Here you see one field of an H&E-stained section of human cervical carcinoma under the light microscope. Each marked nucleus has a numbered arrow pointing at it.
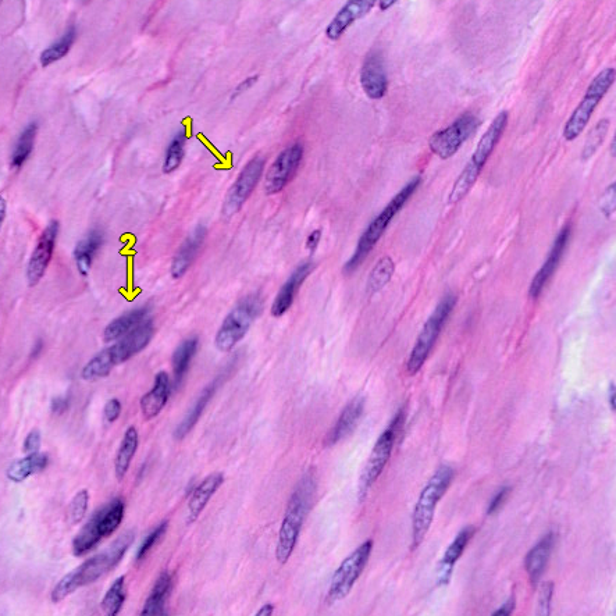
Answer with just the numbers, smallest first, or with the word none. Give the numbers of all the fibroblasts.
2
